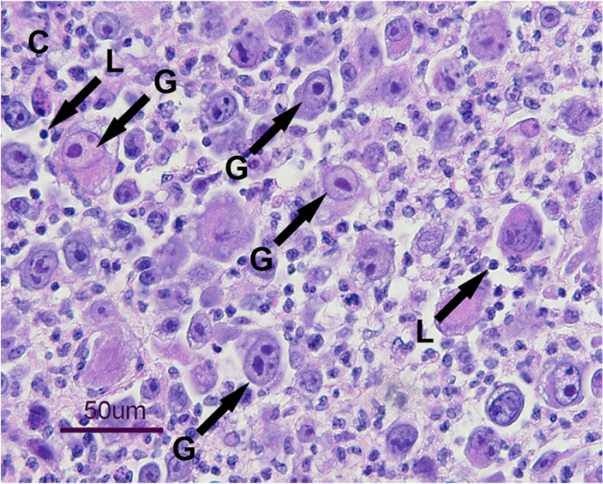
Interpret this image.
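This tumor tissue is crowded with giant cells, many times the size of their neighbours, with abundant pink cytoplasm. The tissue looks loose, with the large cells separated by pale spaces and the small cells packed in between.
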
